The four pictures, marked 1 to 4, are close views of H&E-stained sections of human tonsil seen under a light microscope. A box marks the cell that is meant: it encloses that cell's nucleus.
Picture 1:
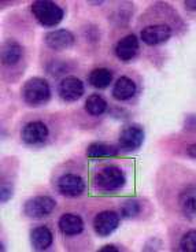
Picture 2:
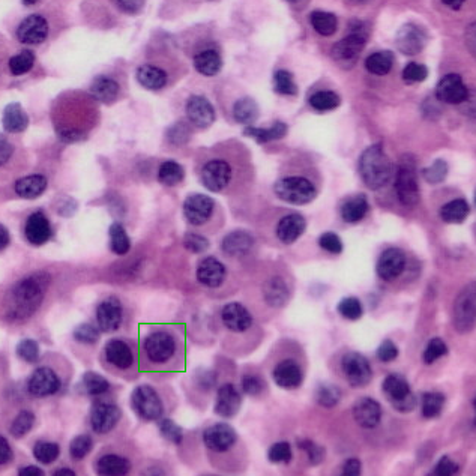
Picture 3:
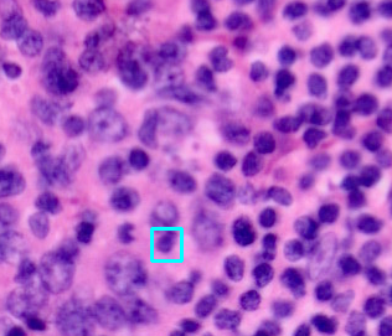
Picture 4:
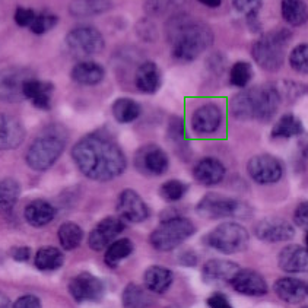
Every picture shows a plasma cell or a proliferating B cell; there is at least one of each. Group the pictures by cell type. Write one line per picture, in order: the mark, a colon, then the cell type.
1: plasma cell
2: plasma cell
3: proliferating B cell
4: plasma cell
